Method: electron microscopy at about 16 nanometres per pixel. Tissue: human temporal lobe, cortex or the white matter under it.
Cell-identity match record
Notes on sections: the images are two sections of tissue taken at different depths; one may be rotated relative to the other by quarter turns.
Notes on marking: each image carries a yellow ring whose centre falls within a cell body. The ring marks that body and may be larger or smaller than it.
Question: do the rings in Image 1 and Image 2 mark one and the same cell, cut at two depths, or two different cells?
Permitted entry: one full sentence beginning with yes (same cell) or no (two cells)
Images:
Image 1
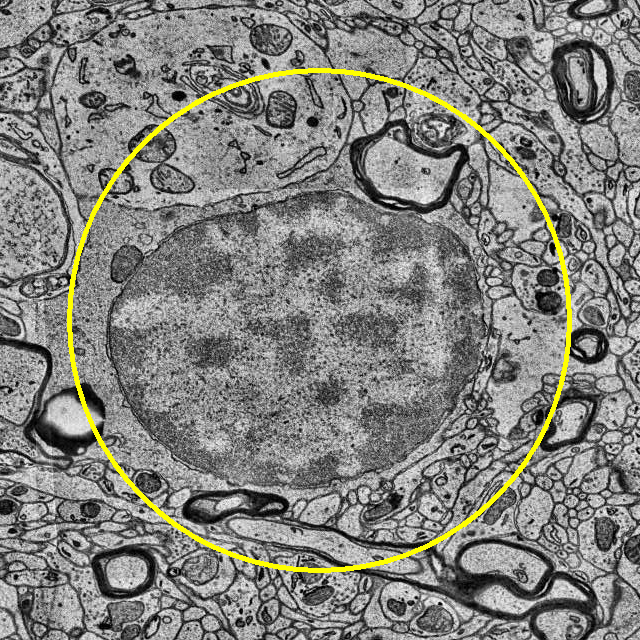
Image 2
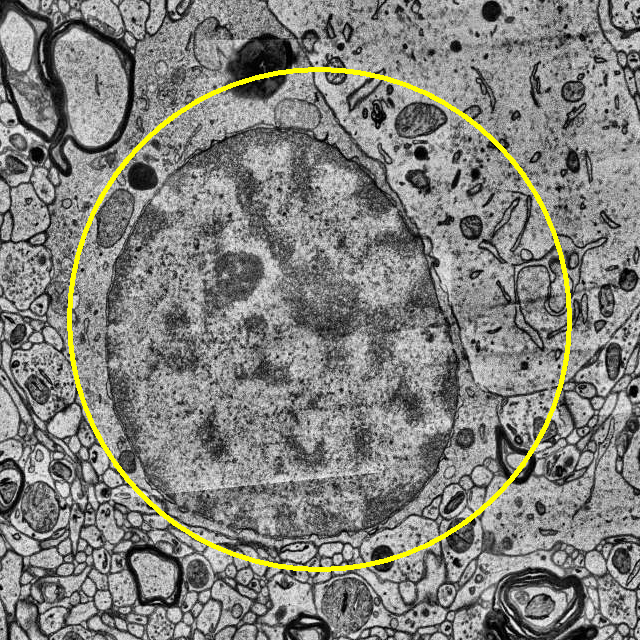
Yes, the two yellow circles hold the same cell.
